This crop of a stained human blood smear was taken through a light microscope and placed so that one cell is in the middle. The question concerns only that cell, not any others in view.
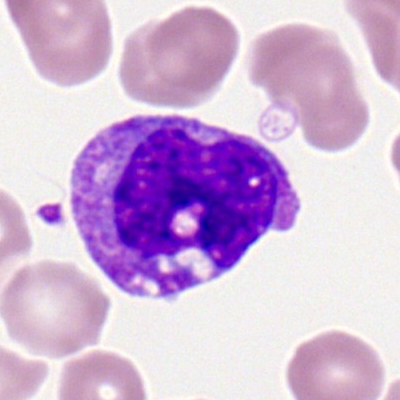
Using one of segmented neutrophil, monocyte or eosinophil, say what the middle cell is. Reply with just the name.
monocyte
